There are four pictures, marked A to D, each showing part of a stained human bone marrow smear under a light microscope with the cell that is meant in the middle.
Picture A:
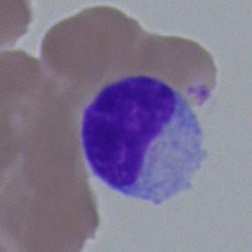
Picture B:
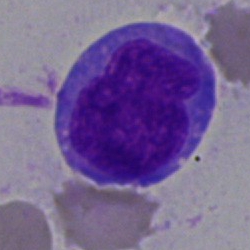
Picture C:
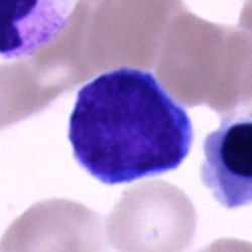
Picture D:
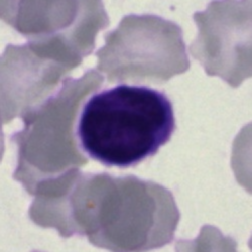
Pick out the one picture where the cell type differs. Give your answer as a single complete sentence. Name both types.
Picture B is the odd one out: it shows a blast, while the others show lymphocytes.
